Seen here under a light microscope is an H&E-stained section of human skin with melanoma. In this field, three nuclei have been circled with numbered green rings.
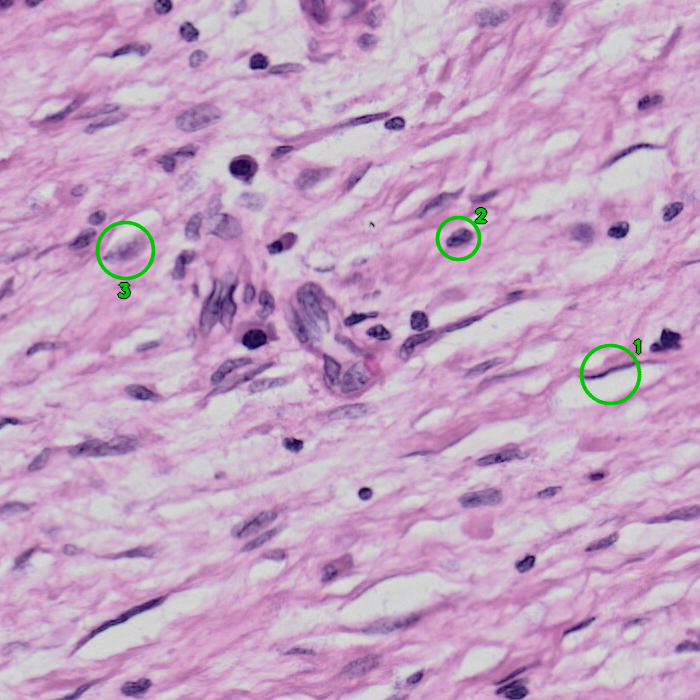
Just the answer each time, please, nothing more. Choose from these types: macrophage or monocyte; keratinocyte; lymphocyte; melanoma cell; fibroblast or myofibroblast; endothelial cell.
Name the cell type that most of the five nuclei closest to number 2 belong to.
fibroblast or myofibroblast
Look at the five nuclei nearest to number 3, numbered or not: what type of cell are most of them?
macrophage or monocyte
